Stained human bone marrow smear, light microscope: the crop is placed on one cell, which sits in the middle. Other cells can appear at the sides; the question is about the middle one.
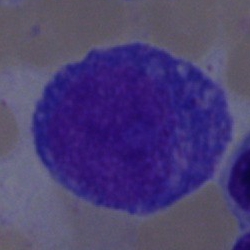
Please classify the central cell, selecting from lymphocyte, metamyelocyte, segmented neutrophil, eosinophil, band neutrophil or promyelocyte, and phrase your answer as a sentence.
The cell at the middle of the frame should be recorded as a promyelocyte.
